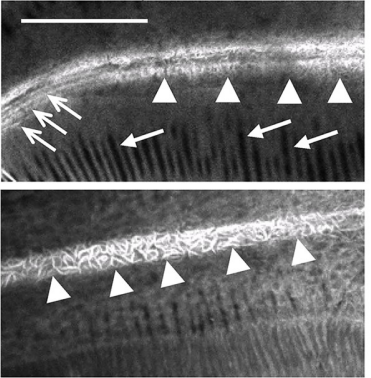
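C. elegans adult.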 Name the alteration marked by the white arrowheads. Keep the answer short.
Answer: Disorganized, “spaghetti-like” pattern.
